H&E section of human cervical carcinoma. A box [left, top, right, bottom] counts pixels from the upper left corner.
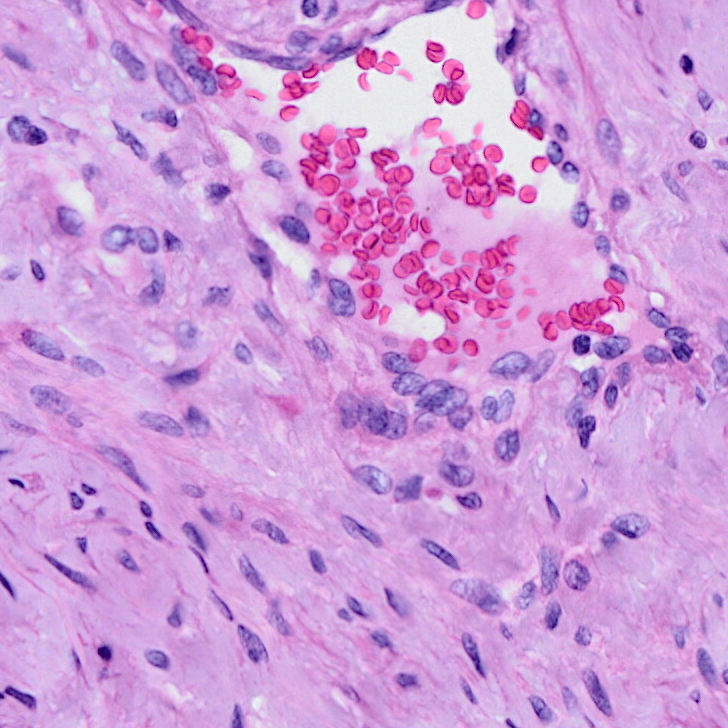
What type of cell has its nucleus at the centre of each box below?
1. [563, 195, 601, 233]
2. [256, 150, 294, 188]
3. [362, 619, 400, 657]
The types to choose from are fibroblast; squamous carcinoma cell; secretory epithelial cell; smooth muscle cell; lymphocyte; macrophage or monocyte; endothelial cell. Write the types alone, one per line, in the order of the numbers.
endothelial cell
endothelial cell
smooth muscle cell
